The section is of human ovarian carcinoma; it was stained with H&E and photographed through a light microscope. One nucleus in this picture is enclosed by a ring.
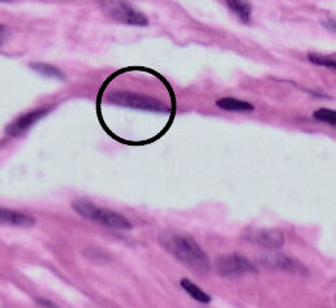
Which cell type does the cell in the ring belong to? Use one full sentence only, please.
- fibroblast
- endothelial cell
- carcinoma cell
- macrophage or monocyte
So far as cell type goes, the cell in the ring is a fibroblast.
